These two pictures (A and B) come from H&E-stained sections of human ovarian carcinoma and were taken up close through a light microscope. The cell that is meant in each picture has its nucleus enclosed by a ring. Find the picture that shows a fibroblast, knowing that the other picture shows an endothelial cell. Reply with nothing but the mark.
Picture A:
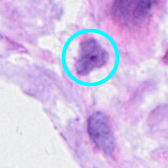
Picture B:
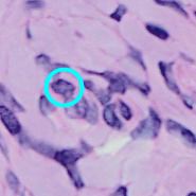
A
